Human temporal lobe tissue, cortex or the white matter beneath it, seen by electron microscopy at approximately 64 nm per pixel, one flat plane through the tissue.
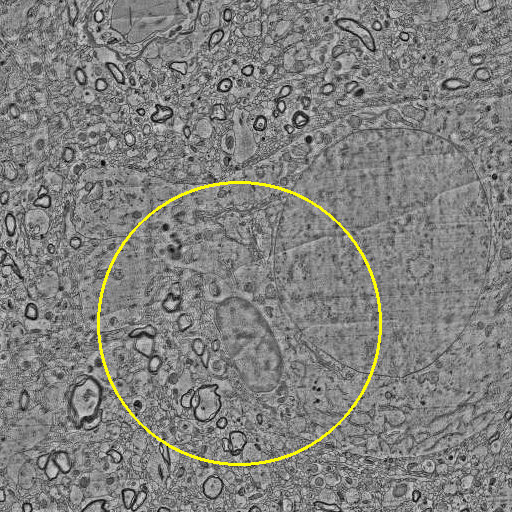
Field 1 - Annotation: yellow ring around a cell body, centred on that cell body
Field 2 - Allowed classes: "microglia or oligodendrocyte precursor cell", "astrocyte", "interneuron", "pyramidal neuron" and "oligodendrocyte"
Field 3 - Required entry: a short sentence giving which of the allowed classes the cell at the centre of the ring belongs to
The centred cell is a microglial cell or oligodendrocyte precursor cell.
